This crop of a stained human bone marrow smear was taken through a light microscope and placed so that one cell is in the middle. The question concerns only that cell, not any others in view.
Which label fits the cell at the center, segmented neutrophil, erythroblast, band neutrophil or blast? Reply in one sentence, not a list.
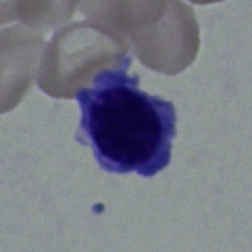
The central cell in this smear crop is an erythroblast.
